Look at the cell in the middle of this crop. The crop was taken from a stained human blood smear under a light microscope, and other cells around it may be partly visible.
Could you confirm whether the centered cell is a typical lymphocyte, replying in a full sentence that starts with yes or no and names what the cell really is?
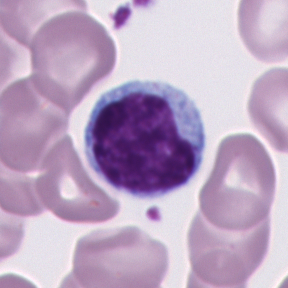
Yes, placed in the middle of the crop is a typical lymphocyte.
